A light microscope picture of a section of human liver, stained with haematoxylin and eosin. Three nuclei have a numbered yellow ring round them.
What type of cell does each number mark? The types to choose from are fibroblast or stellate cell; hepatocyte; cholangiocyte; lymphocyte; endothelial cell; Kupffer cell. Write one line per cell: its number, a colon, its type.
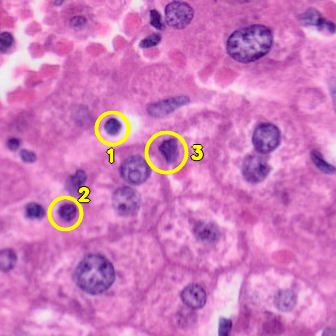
1: lymphocyte
2: lymphocyte
3: fibroblast or stellate cell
